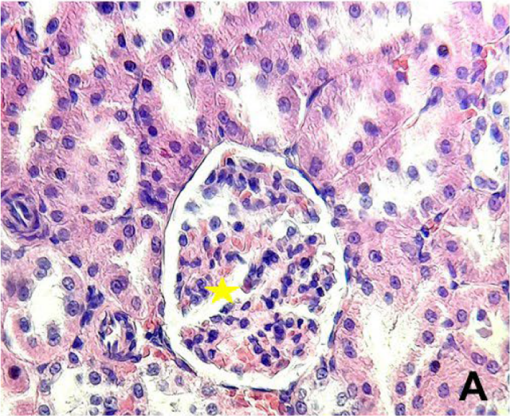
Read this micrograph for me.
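A section of kidney cortex in which a round glomerulus lies in the centre, surrounded by tubules. The glomerulus is a tuft of capillary loops with many blue nuclei and red blood cells in its loops. A thin capsule encloses it, with a clear space between the tuft and the capsule. The cells are evenly arranged, and no clusters of inflammatory cells are seen between the tubules. This is a normal glomerulus with ordinary surrounding tubules.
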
